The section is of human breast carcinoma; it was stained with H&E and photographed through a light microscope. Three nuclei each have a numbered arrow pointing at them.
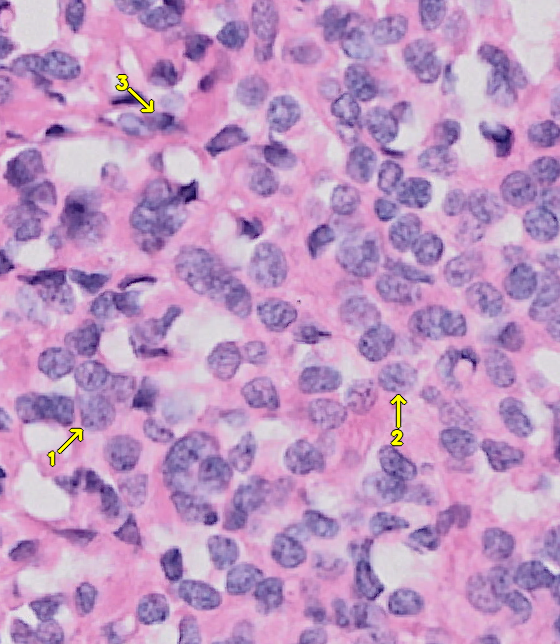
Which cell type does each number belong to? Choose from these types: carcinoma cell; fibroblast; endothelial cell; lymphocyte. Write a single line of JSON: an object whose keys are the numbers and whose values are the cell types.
{"1": "carcinoma cell", "2": "carcinoma cell", "3": "endothelial cell"}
